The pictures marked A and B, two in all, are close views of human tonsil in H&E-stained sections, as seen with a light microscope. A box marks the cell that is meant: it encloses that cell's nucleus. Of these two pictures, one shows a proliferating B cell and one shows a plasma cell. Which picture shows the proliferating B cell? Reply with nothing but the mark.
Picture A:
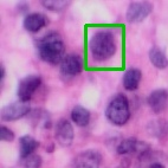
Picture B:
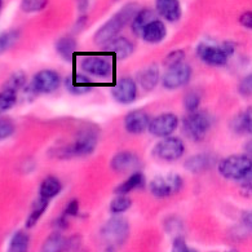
A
